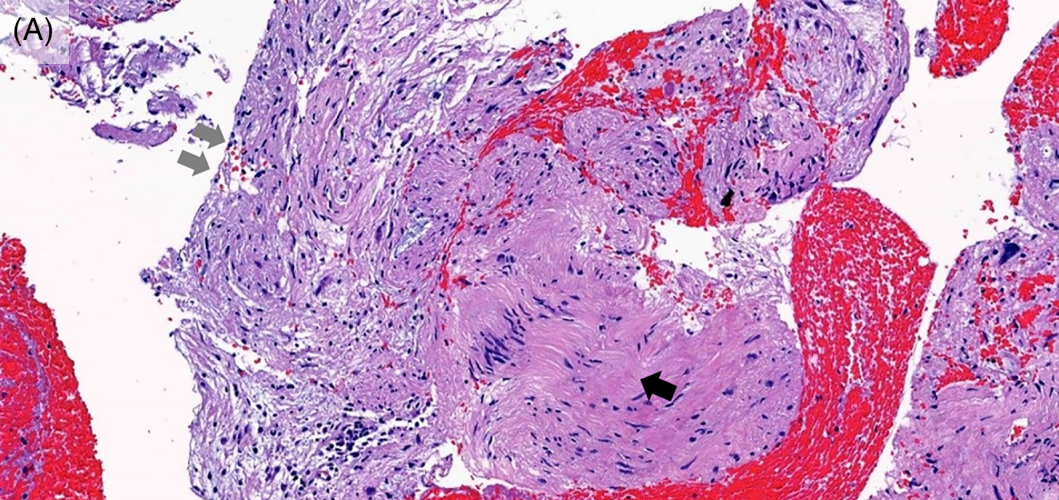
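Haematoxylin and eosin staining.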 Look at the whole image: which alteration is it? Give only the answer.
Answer: Schwannoma.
